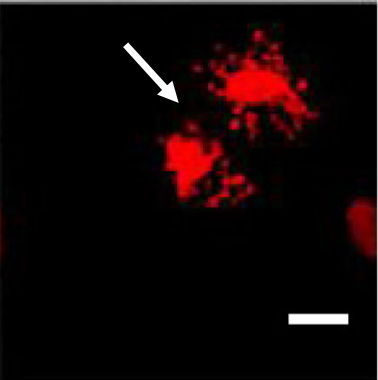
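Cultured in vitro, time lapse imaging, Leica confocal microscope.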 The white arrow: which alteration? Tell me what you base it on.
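Apoptosis. The cells at the arrow are fragmented into many small red particles. The particles spread around small condensed central bodies.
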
